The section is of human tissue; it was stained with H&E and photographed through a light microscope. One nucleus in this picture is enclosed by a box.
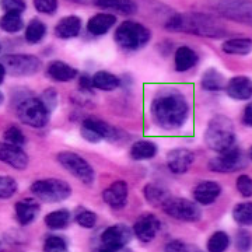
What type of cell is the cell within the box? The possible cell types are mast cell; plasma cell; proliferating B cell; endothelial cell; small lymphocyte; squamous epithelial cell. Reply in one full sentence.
In short, the cell within the box on this section is a proliferating B cell.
